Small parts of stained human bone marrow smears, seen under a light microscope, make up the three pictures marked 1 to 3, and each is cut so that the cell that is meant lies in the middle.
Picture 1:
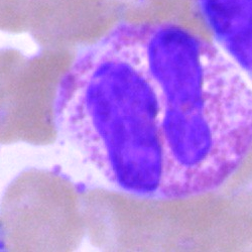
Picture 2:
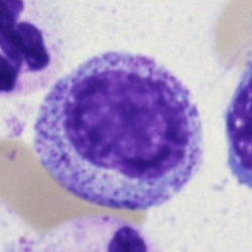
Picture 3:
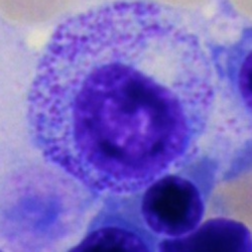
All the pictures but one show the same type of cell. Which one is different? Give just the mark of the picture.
1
